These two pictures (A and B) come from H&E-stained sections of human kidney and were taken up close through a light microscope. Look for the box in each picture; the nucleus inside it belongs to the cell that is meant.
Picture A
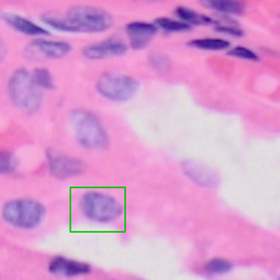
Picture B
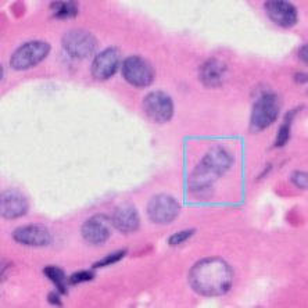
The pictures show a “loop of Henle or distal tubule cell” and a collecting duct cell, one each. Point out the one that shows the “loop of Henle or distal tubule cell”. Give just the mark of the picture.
A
